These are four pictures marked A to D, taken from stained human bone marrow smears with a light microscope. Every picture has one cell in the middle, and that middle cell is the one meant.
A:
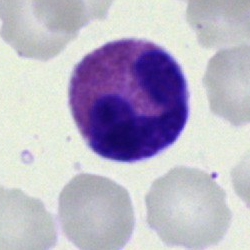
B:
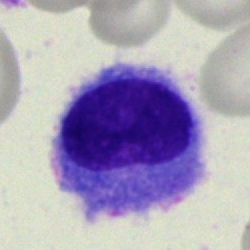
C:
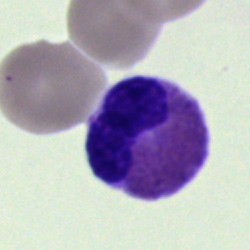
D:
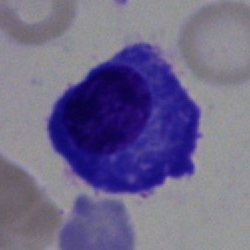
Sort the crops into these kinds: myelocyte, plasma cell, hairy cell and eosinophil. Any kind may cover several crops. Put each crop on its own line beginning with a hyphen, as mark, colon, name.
- A: eosinophil
- B: hairy cell
- C: eosinophil
- D: plasma cell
